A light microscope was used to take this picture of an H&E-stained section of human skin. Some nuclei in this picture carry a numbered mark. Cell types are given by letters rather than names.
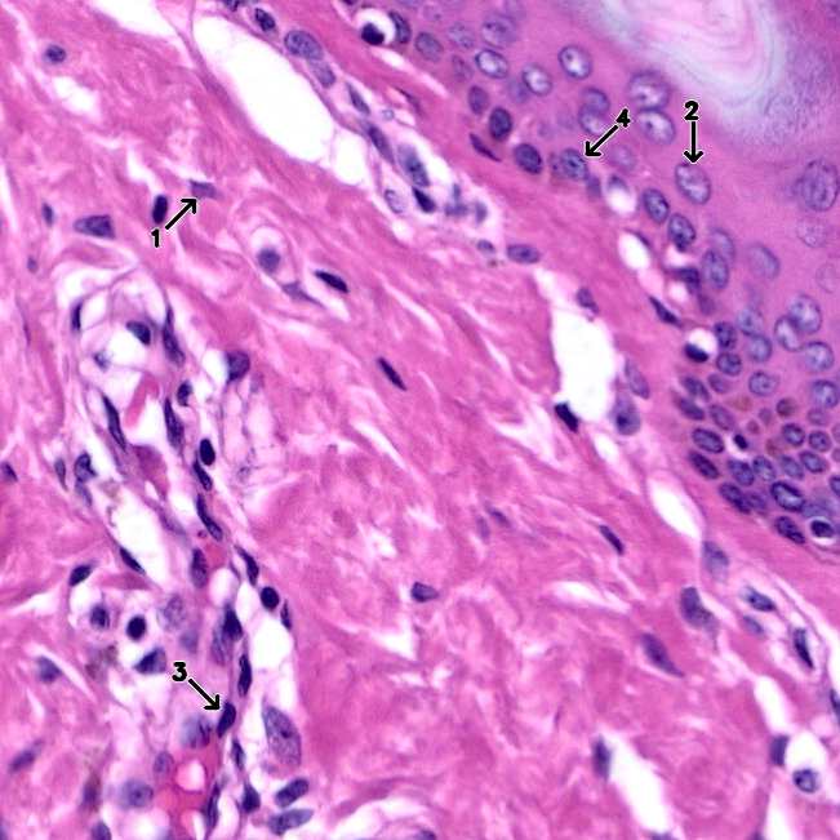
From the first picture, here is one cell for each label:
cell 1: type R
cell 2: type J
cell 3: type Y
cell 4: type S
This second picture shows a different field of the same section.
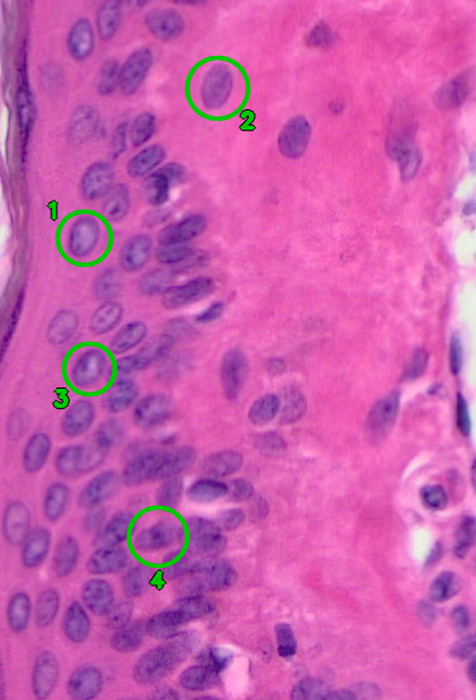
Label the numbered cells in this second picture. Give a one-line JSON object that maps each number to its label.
{"1": "type J", "2": "type R", "3": "type J", "4": "type S"}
